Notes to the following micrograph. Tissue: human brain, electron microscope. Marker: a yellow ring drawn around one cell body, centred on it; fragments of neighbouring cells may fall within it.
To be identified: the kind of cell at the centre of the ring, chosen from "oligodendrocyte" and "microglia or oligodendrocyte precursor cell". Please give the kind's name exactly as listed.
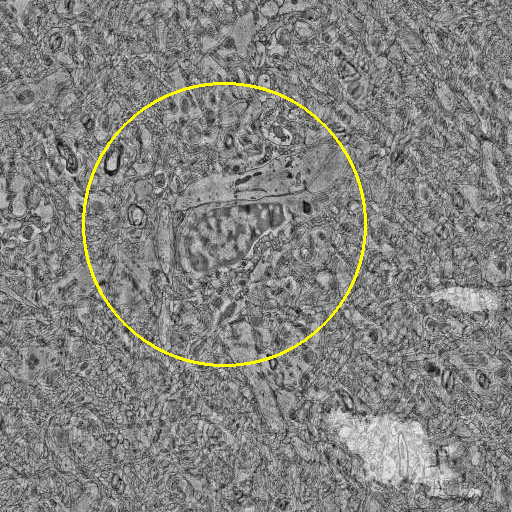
microglia or oligodendrocyte precursor cell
